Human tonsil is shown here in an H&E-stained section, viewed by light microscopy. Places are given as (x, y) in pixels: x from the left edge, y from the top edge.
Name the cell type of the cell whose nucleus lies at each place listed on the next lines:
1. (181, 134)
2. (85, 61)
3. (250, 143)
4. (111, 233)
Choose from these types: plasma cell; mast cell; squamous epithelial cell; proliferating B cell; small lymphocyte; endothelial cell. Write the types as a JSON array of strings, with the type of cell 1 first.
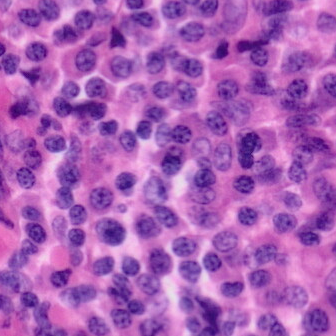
["plasma cell", "plasma cell", "plasma cell", "proliferating B cell"]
